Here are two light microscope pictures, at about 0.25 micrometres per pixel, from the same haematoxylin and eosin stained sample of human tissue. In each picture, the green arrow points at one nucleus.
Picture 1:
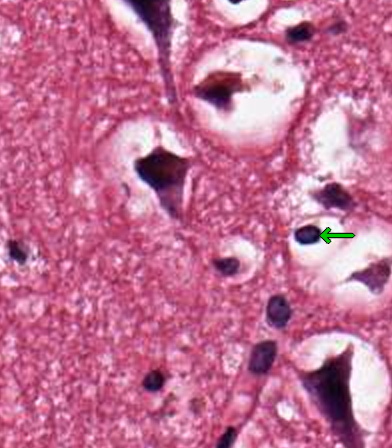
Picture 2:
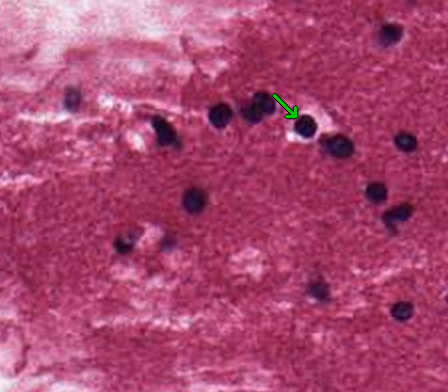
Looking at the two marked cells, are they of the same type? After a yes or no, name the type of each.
Yes, both are oligodendrocytes.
